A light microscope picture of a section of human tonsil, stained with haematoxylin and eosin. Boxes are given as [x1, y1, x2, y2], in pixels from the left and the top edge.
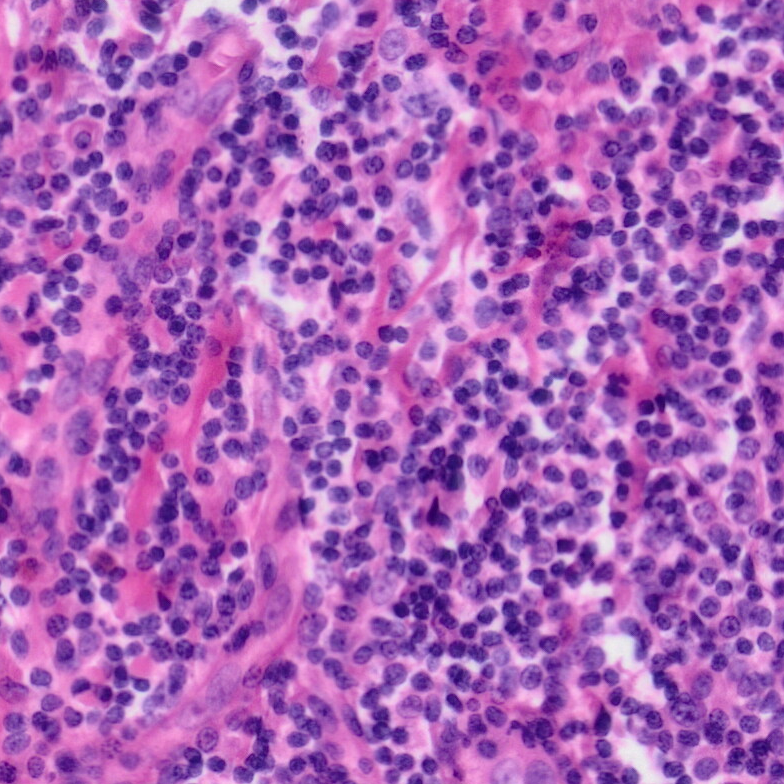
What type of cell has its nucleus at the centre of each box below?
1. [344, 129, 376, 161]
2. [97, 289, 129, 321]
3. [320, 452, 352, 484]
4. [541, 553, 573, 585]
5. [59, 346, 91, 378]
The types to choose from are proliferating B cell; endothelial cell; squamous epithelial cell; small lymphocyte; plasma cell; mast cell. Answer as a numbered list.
1. small lymphocyte
2. endothelial cell
3. small lymphocyte
4. small lymphocyte
5. endothelial cell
